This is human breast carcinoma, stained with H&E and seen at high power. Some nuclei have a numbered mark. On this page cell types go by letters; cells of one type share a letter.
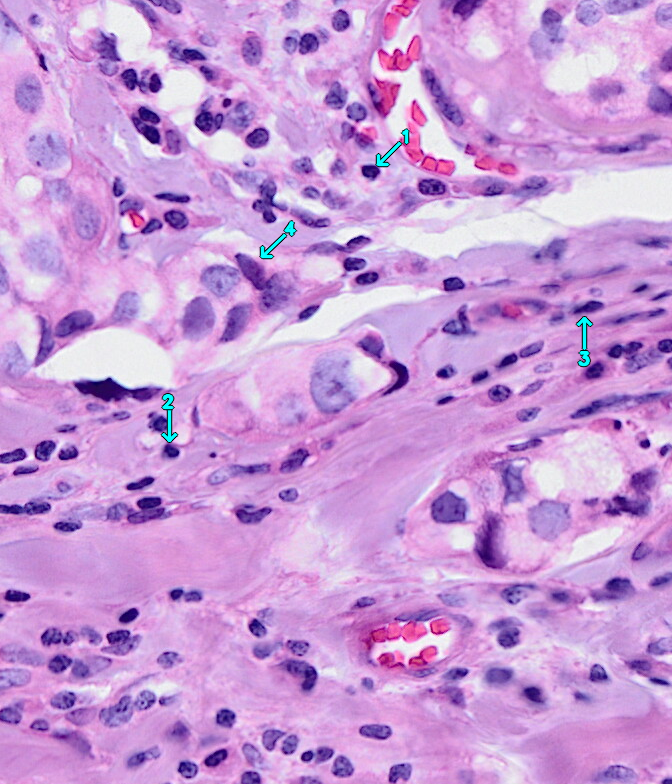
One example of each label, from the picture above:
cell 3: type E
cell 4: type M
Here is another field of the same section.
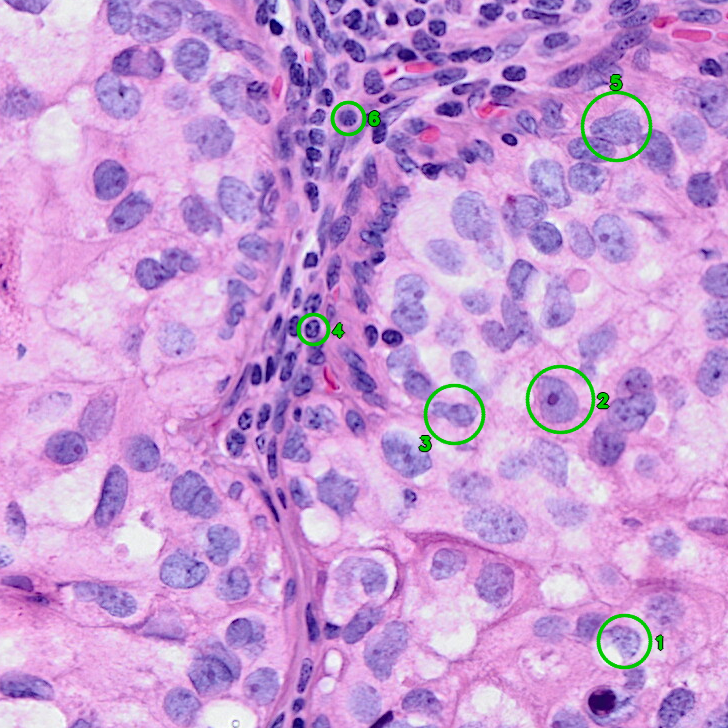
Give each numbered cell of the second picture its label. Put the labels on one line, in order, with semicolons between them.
type M; type M; type M; type E; type M; type E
